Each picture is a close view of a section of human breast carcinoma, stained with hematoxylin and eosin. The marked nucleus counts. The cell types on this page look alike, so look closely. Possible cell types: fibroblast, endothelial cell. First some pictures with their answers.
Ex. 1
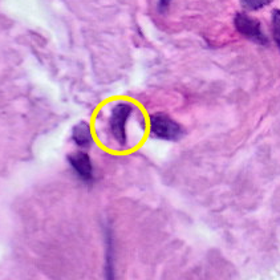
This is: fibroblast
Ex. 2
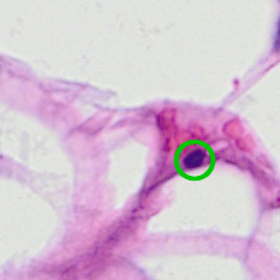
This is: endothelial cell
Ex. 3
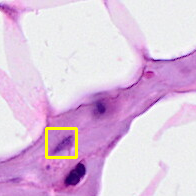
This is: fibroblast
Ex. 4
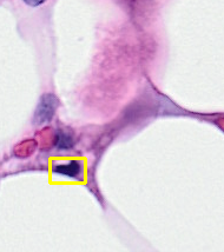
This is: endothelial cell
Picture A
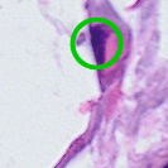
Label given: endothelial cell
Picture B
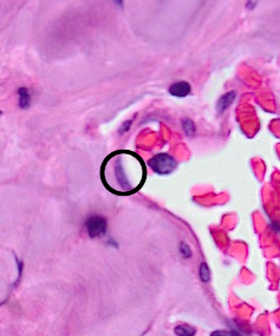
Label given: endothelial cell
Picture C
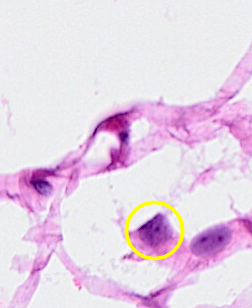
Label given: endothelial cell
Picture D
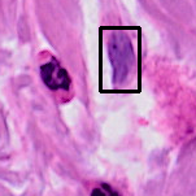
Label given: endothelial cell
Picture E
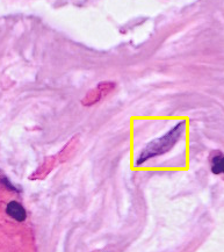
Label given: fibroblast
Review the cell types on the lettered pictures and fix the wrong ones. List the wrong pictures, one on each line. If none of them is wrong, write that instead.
D: fibroblast, not endothelial cell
